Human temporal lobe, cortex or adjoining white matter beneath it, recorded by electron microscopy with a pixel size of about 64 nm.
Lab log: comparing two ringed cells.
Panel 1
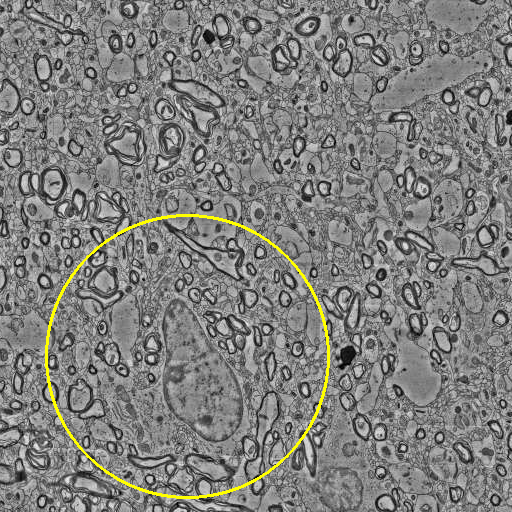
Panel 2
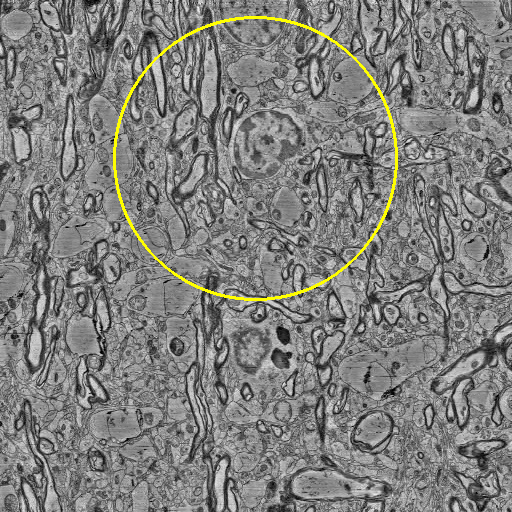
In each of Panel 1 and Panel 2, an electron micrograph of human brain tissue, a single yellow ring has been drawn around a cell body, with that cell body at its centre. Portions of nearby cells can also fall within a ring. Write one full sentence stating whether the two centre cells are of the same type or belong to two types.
The cells at the ring centres in Panel 1 and Panel 2 are of the same type.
